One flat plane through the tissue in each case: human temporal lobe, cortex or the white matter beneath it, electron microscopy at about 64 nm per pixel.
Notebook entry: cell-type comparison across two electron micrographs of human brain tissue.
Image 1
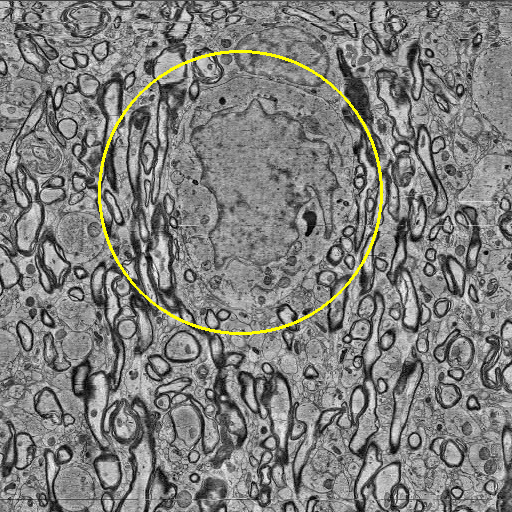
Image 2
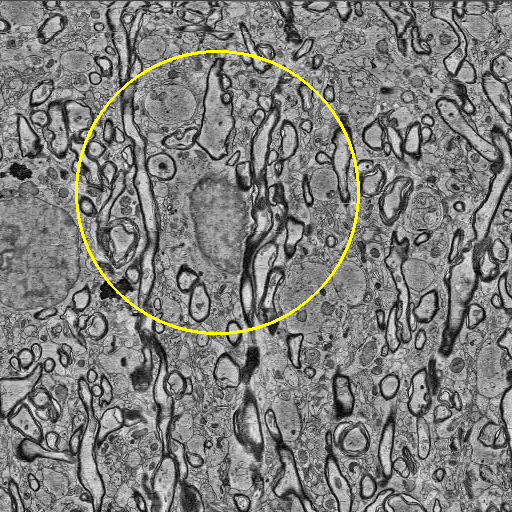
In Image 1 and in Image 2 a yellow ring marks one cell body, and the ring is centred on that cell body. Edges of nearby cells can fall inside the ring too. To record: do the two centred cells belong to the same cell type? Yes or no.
no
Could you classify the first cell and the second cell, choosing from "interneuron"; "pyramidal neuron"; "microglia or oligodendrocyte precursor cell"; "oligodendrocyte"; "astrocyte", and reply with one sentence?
The second cell is an oligodendrocyte, while the first is an interneuron.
